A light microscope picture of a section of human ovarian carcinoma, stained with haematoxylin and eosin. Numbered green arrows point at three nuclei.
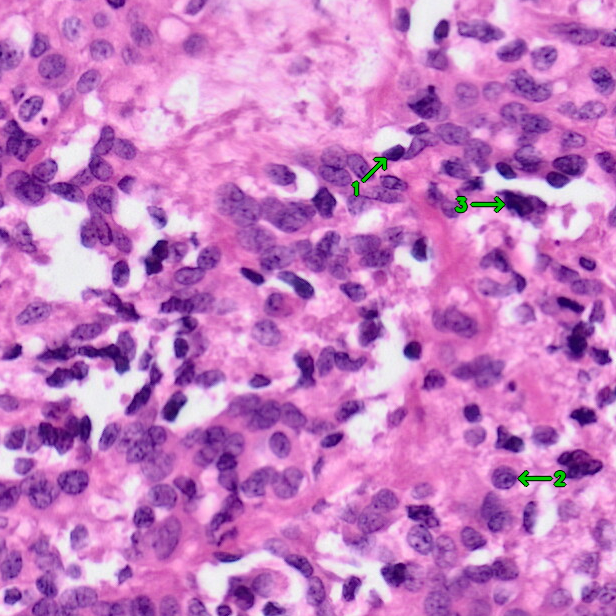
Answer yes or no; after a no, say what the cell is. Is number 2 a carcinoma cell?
No, it is a macrophage or monocyte.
